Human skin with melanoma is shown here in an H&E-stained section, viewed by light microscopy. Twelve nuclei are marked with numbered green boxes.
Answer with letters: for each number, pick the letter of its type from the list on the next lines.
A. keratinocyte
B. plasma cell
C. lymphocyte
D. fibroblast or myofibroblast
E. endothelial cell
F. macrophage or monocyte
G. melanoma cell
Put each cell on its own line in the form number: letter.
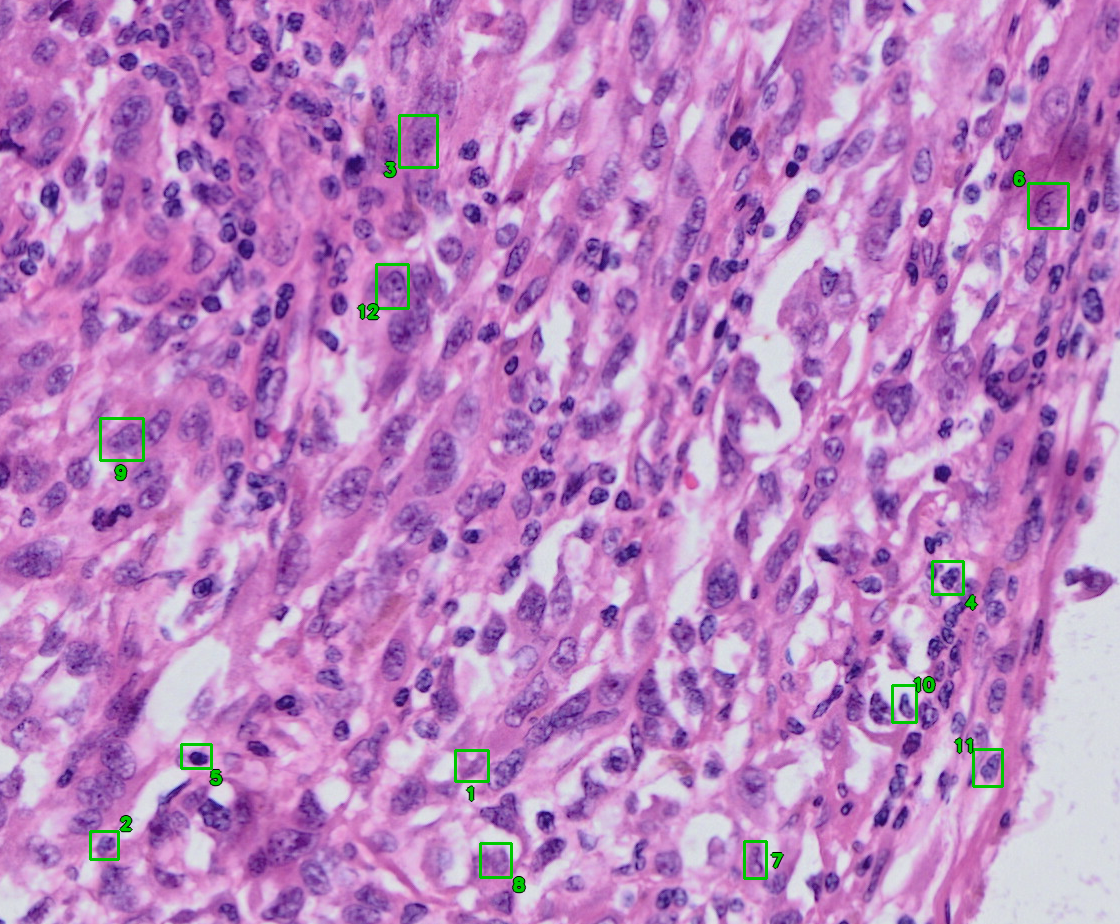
1: G
2: C
3: G
4: C
5: C
6: G
7: G
8: G
9: G
10: C
11: C
12: G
